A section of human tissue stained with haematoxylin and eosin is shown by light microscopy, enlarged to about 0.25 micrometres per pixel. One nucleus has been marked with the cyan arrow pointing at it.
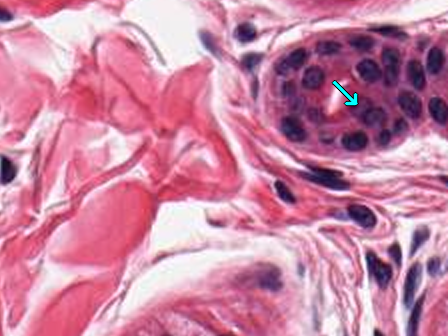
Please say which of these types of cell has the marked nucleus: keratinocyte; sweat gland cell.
sweat gland cell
